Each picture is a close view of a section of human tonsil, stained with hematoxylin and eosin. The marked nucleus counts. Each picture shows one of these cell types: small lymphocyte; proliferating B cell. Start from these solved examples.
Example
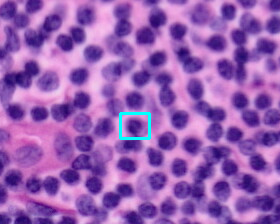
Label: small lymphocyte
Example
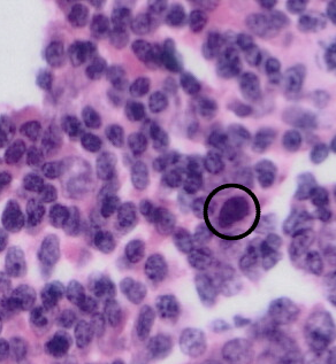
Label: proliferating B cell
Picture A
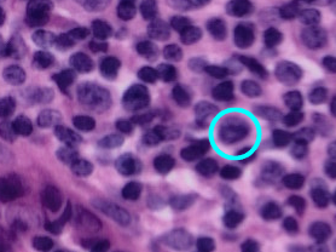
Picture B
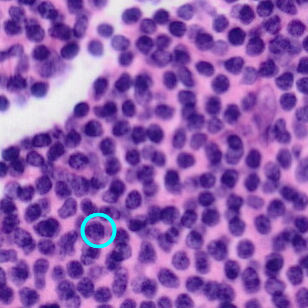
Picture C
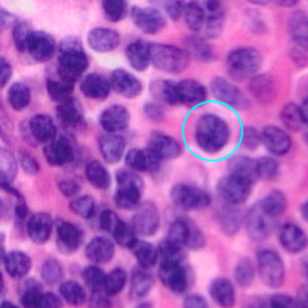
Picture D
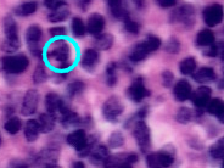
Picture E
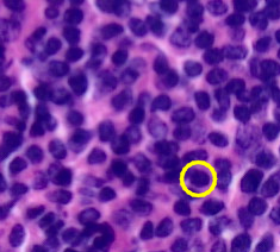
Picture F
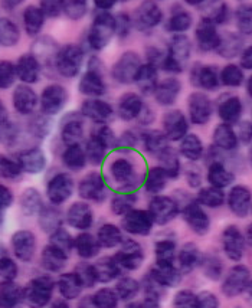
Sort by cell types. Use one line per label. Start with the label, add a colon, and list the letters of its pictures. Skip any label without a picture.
small lymphocyte: B, D, E, F
proliferating B cell: A, C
